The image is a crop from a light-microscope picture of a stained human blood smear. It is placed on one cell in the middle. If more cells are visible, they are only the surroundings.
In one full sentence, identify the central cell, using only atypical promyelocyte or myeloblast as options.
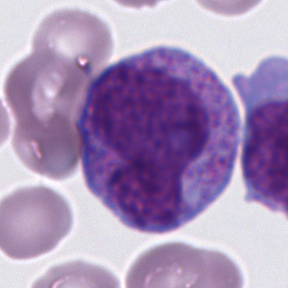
The crop shows an atypical promyelocyte in its centre.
